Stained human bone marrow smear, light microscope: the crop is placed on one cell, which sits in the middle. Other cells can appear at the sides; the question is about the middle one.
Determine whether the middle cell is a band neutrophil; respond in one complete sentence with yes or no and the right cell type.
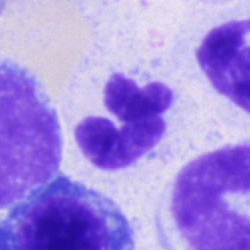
No, the cell in the centre of the crop is a segmented neutrophil as opposed to a band neutrophil.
